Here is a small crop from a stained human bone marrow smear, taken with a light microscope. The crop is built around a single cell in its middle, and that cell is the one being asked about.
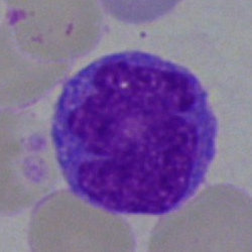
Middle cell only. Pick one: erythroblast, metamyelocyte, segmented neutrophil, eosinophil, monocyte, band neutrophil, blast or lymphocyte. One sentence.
By classification, the middle cell of this crop is a monocyte.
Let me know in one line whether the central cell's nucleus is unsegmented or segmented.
There is one compact nucleus, and its shape is round, oval or kidney-like.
